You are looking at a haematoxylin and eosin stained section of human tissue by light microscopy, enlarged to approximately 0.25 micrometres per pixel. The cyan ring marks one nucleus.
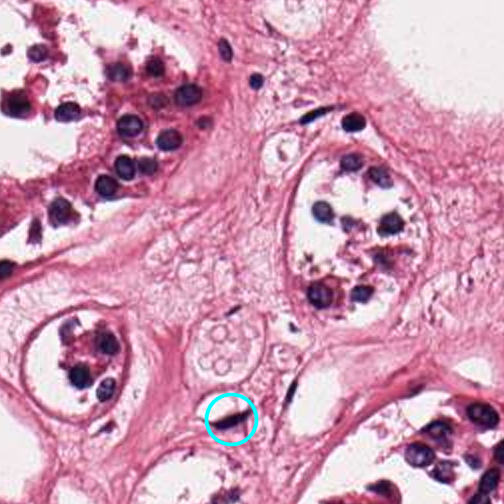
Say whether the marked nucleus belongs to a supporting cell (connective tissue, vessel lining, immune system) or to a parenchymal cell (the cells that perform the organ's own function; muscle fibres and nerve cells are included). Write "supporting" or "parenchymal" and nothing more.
supporting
